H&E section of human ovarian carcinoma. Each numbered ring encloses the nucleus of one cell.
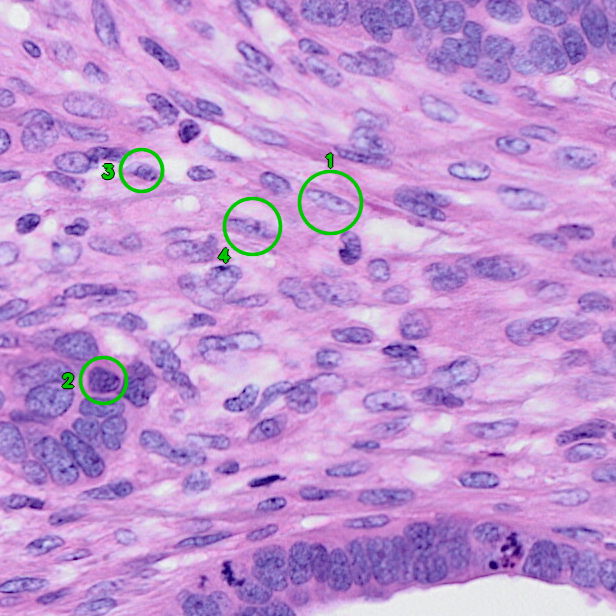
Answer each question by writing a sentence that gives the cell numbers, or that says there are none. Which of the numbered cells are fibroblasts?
Here, the cells that carry numbers 1, 3 and 4 are fibroblasts.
